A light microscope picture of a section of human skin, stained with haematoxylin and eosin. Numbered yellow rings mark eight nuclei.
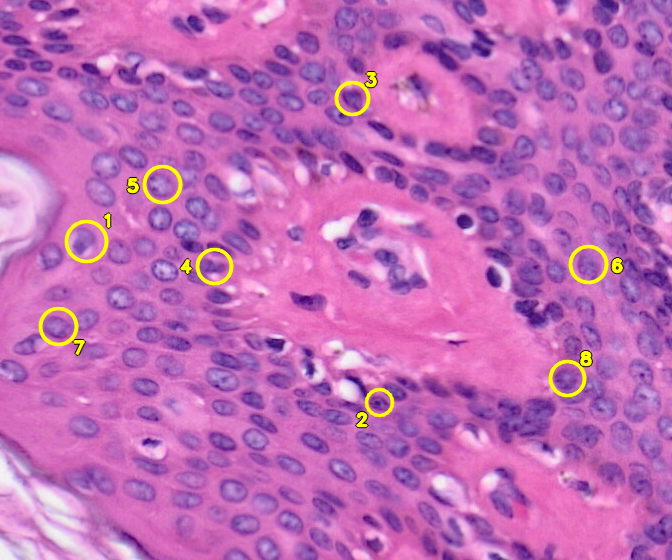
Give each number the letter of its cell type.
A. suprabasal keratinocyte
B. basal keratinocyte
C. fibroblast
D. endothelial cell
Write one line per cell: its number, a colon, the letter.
1: A
2: B
3: B
4: B
5: A
6: A
7: A
8: B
